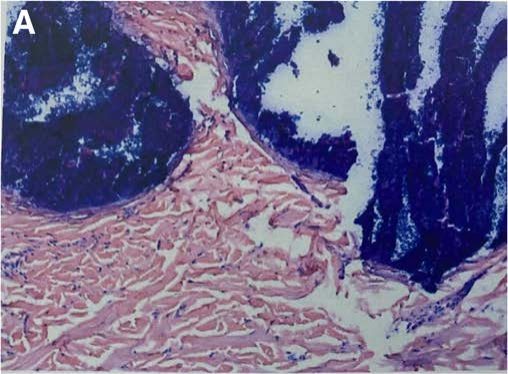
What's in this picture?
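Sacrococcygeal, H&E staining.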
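This is dermis or subcutaneous tissue holding large deposits of calcium. Two large, dense, dark blue-purple masses with irregular, lobulated edges take up the upper part of the field. They are amorphous and granular, with cracks and pale clefts, and show no cell outlines. Around and below them lie thick, wavy bands of pink collagen fibres, with sparse, scattered flattened nuclei between the bundles.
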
